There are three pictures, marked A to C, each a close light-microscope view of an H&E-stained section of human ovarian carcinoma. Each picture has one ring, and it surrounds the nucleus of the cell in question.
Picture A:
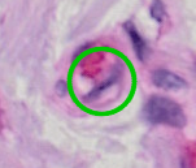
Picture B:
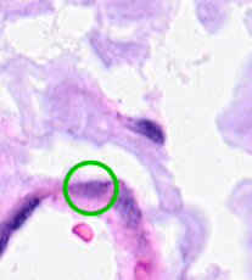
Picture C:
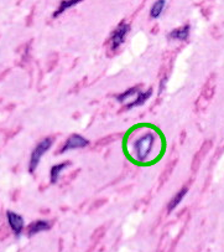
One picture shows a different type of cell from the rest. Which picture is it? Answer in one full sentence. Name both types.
Picture C is the odd one out: it shows a fibroblast, while the others show endothelial cells.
